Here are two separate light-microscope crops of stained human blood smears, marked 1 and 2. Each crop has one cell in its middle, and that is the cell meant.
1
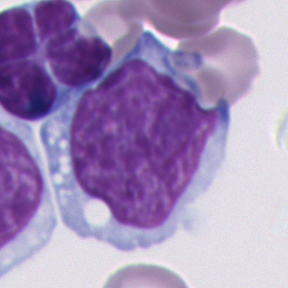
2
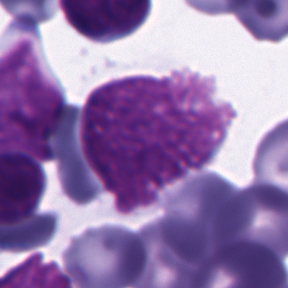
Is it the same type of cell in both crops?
no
